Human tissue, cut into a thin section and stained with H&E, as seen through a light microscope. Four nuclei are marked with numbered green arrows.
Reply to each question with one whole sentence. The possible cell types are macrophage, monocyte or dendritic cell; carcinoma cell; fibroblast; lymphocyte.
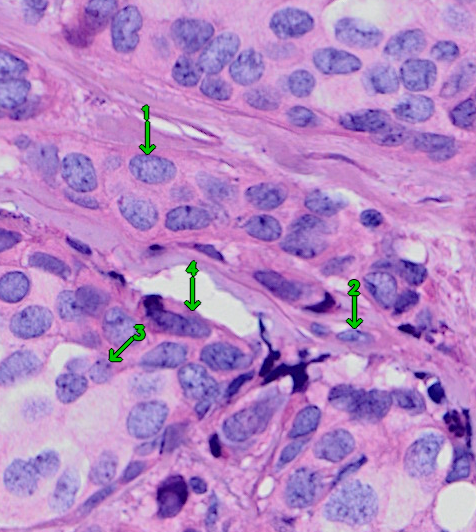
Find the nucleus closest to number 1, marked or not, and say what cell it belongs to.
It is a carcinoma cell whose nucleus is nearest to number 1.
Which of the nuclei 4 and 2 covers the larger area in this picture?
It is nucleus 4, which covers about 1.5 times the area of nucleus 2.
